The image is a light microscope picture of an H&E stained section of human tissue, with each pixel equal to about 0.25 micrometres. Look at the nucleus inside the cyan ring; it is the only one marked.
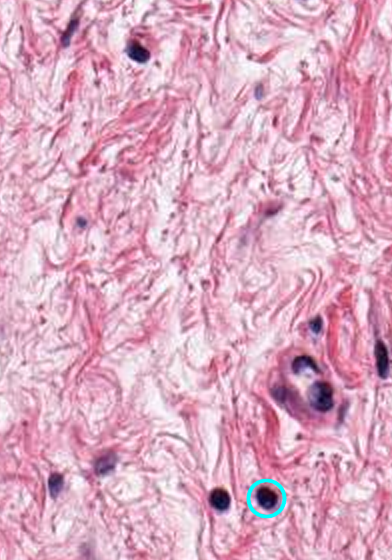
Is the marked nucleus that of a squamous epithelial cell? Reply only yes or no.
no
